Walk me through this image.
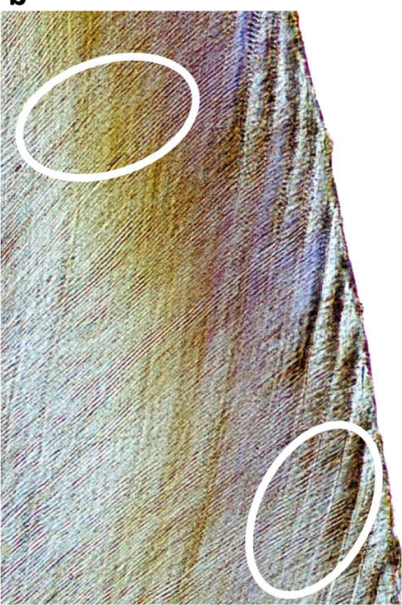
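This is a thin section through tooth enamel, with the outer surface of the crown forming the right edge of the field. Toward the outer surface on the right, coarser dark bands cross the enamel at an angle and run out to the surface; these are the Retzius lines.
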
